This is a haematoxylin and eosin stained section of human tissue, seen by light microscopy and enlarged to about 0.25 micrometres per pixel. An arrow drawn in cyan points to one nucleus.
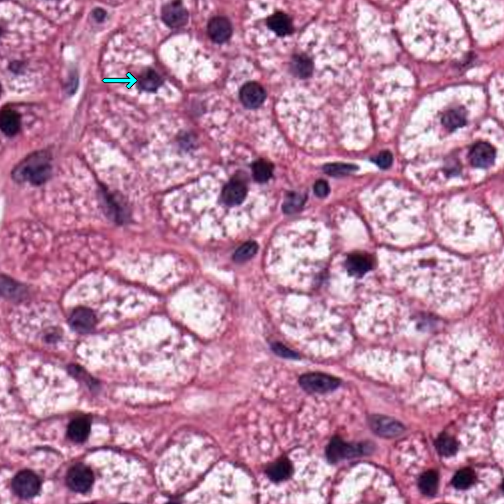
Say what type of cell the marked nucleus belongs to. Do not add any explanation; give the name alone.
adrenal cortical cell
